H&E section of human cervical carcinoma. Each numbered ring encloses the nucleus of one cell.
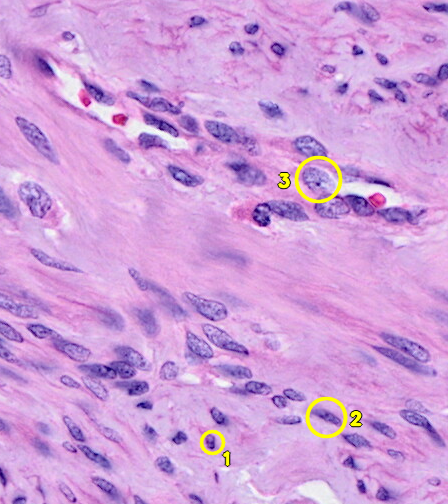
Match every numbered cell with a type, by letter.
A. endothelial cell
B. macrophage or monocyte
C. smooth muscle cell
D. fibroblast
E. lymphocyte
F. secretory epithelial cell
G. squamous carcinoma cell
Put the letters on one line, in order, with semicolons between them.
C; C; A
